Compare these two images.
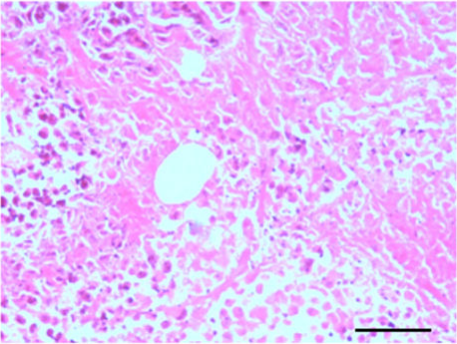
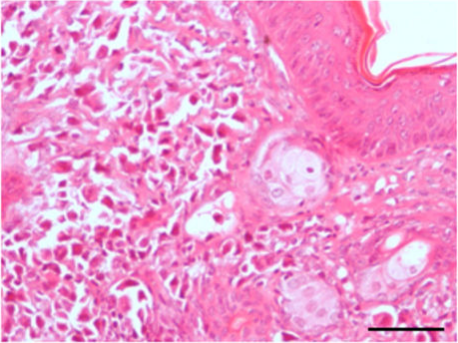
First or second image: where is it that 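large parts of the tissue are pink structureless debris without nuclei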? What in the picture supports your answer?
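The first image. First image: wide pale pink amorphous zones with few or no nuclei.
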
